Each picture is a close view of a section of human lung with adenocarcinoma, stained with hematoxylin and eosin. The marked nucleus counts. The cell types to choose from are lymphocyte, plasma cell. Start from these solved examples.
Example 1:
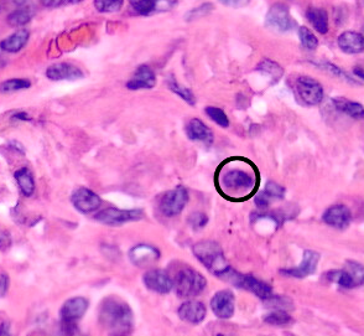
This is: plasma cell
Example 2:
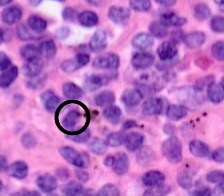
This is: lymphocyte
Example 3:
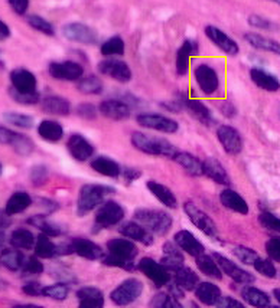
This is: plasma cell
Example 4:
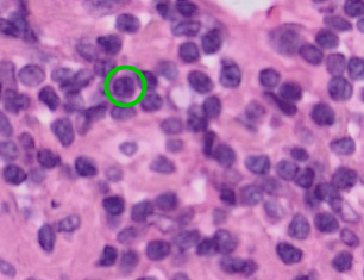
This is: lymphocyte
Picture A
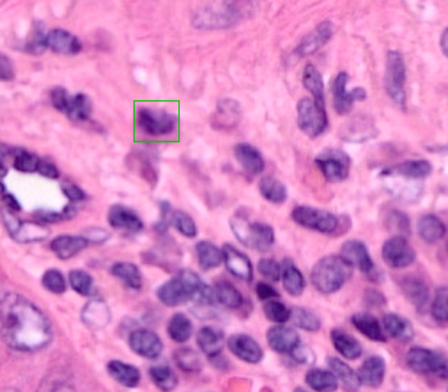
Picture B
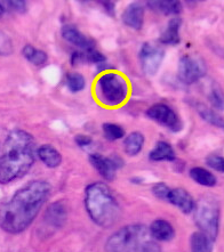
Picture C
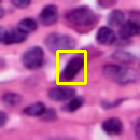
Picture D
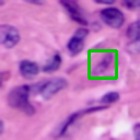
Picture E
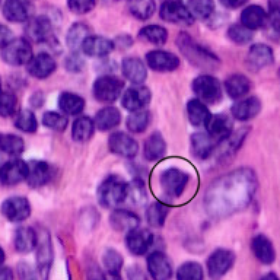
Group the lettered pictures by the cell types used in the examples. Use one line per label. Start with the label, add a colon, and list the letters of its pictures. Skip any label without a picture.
lymphocyte: E
plasma cell: A, B, C, D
